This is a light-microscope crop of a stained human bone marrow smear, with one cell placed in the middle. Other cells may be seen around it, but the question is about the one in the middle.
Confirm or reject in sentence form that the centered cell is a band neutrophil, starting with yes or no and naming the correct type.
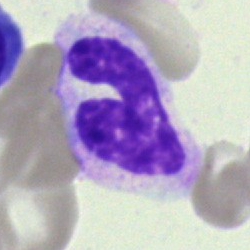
Yes, this central cell is a band neutrophil.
